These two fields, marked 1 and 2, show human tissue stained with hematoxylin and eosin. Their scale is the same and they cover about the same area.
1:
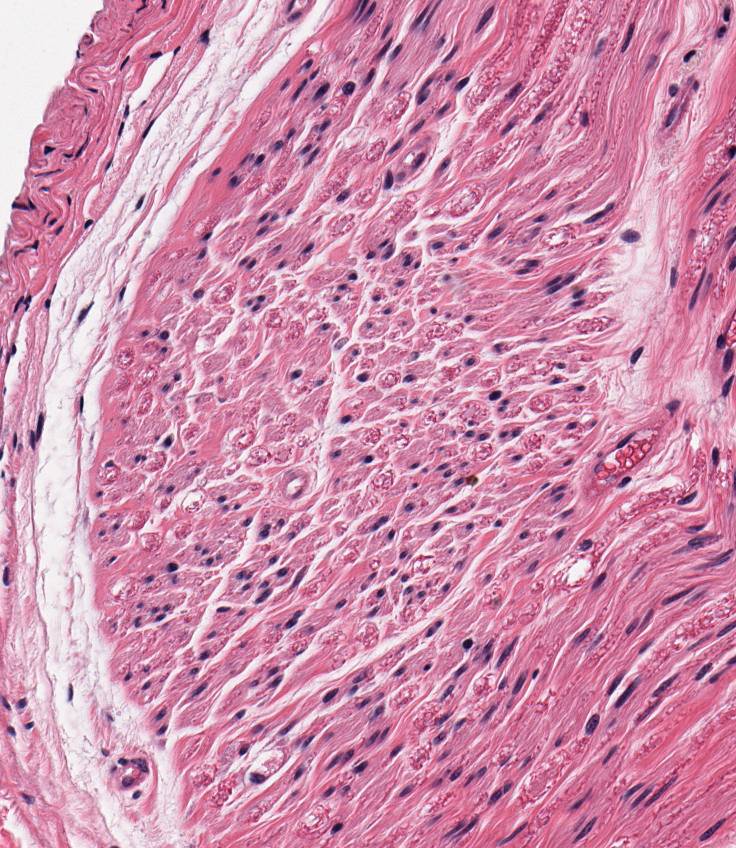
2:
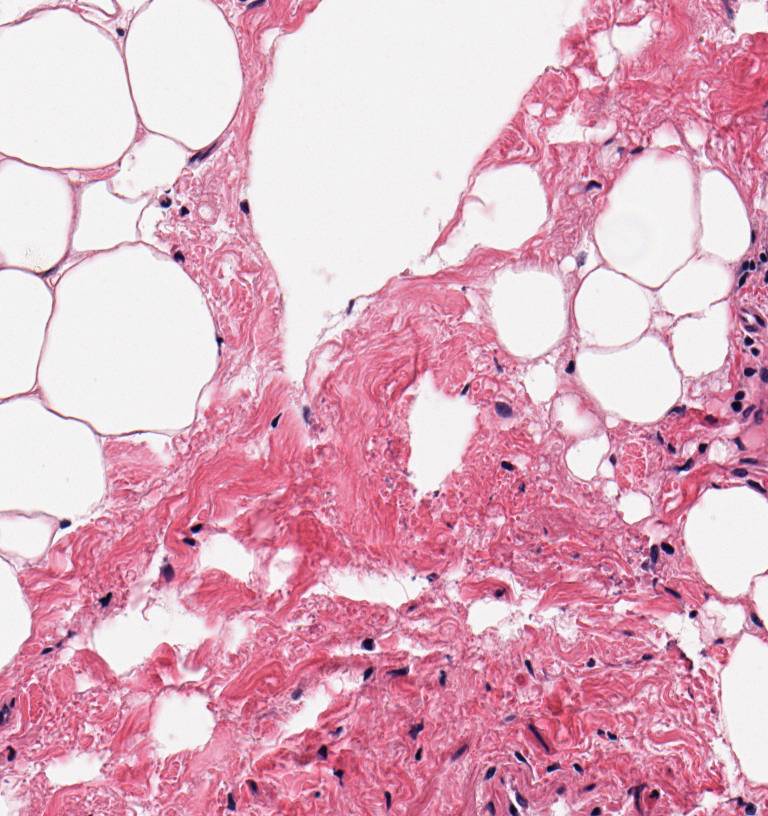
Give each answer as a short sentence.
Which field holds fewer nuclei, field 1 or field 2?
Fewer nuclei lie in field 2 than in field 1.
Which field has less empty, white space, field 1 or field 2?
Less of field 1 is empty and white.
